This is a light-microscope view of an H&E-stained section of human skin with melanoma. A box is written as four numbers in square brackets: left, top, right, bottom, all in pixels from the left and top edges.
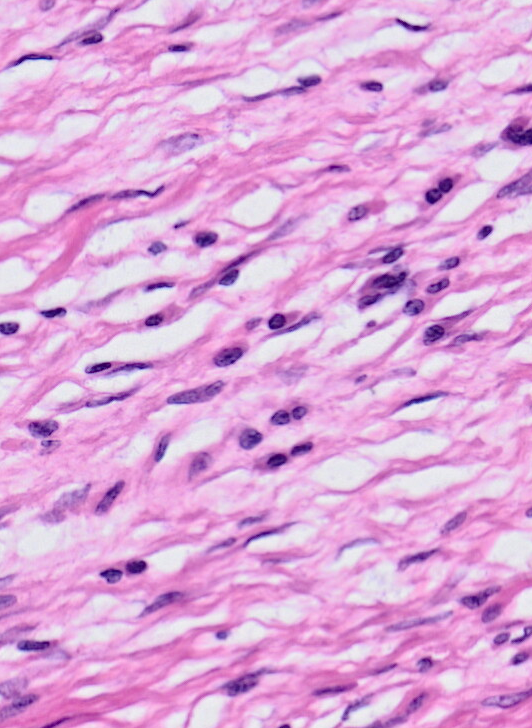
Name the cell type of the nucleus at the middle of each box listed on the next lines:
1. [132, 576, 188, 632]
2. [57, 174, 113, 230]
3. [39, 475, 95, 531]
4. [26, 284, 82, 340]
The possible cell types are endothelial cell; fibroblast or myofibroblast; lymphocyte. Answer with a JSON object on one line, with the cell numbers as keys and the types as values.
{"1": "fibroblast or myofibroblast", "2": "fibroblast or myofibroblast", "3": "fibroblast or myofibroblast", "4": "lymphocyte"}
